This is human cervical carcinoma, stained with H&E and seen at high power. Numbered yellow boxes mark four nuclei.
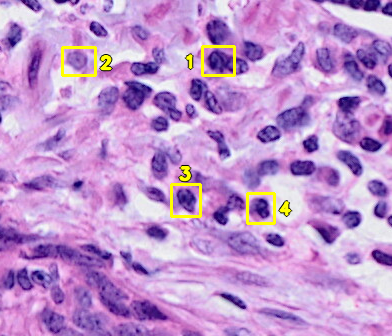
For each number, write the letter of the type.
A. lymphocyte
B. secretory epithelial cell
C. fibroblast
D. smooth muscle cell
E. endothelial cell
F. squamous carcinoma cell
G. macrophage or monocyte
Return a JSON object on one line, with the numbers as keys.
{"1": "A", "2": "G", "3": "A", "4": "A"}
